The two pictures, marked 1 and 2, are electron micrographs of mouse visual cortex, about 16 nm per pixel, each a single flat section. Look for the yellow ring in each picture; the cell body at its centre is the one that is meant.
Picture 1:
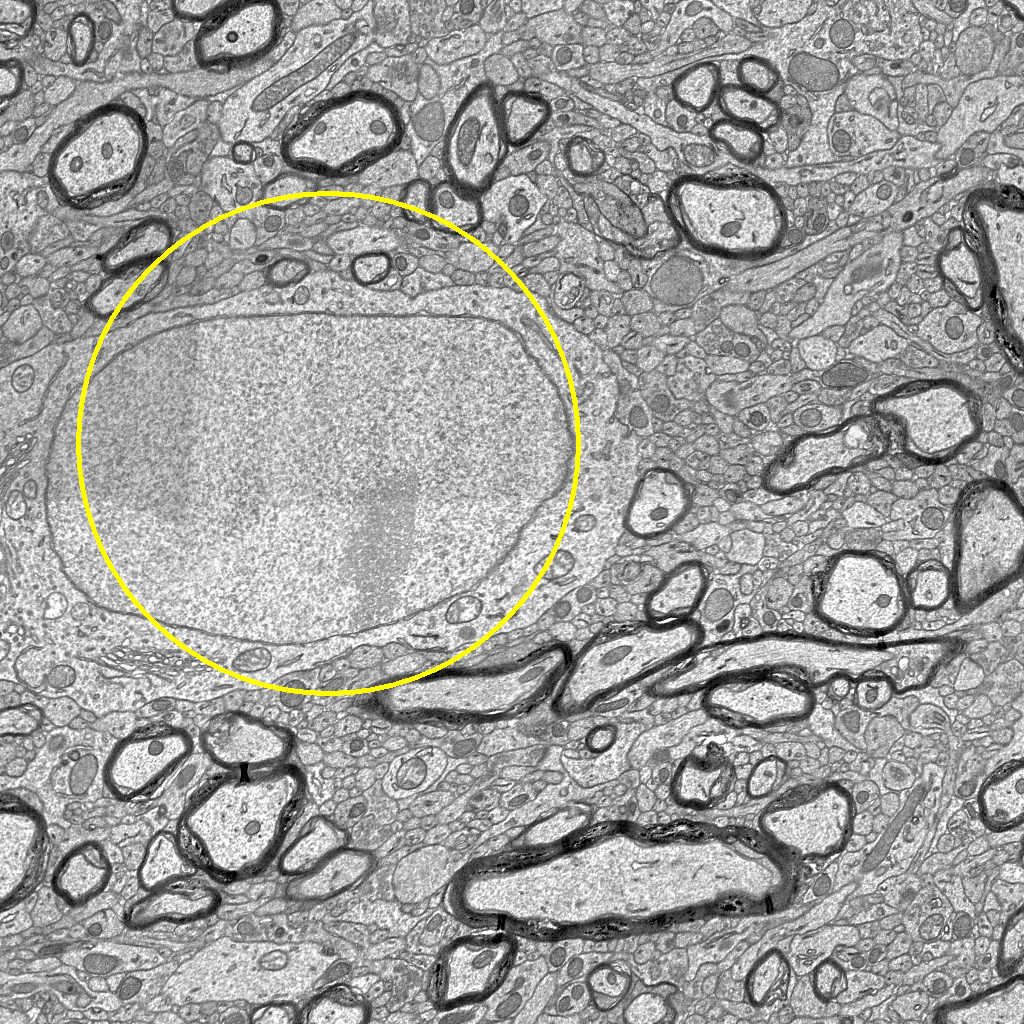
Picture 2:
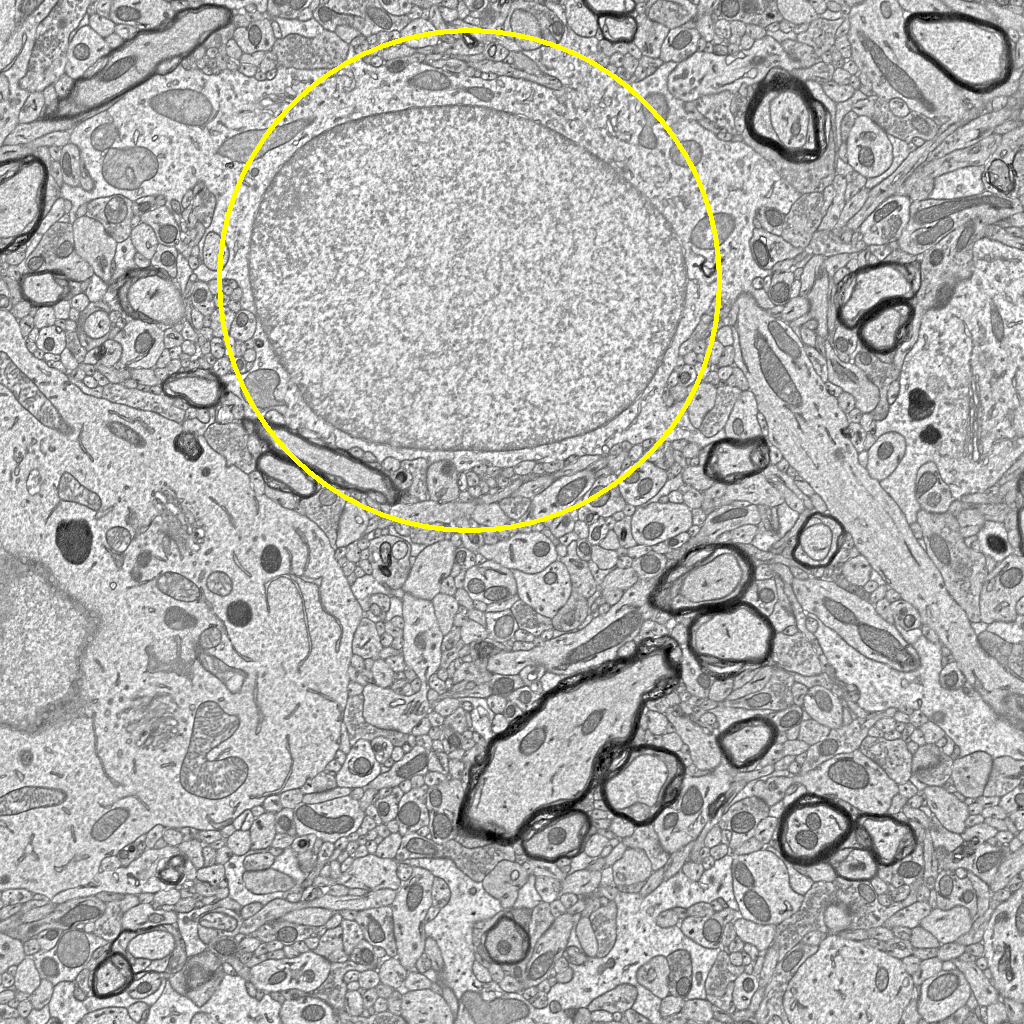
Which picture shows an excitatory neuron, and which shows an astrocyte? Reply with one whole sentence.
The cell in picture 1 is an excitatory neuron, and the one in picture 2 is an astrocyte.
